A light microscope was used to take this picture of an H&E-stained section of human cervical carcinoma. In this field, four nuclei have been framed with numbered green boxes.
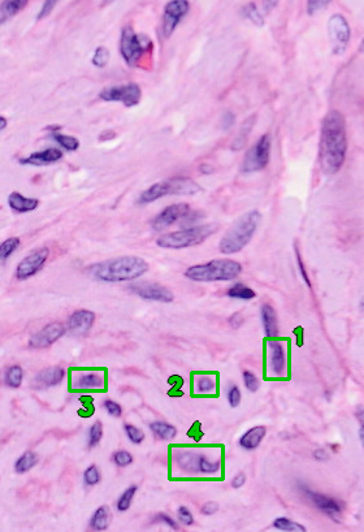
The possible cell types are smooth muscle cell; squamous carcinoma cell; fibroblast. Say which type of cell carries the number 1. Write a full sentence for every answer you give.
The cell to which the number 1 is assigned is a fibroblast.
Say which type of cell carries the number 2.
The cell whose nucleus carries the number 2 is a smooth muscle cell.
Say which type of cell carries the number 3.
The cell tagged with 3 in this tissue section is a smooth muscle cell.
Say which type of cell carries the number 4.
At number 4, the marked cell is a smooth muscle cell.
